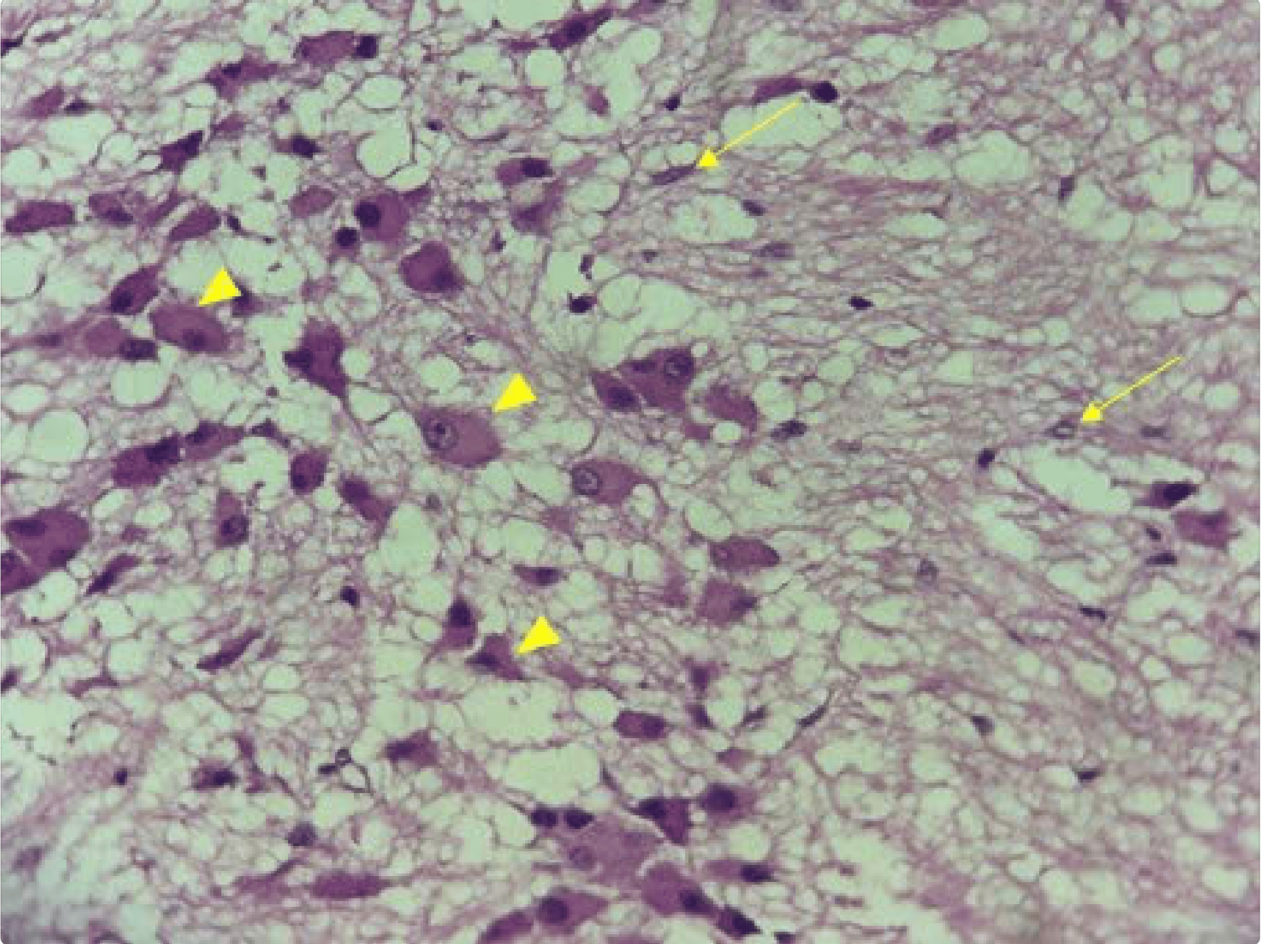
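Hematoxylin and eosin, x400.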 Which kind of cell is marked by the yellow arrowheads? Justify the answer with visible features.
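Large polygonal cells with abundant pink-purple cytoplasm. Round nuclei, some with a visible nucleolus. Cells far larger than the surrounding small nuclei. So: ganglion cell components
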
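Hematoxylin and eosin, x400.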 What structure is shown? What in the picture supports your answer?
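Myxoid stroma. Pale, loose, vacuolated background between the cells. Thin pink strands forming a loose network around clear spaces.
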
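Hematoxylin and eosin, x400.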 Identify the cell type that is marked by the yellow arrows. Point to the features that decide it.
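Small dark nuclei with scant cytoplasm. Nuclei lie among fine wavy fibrillary strands. That points to this answer: Schwann cell components.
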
